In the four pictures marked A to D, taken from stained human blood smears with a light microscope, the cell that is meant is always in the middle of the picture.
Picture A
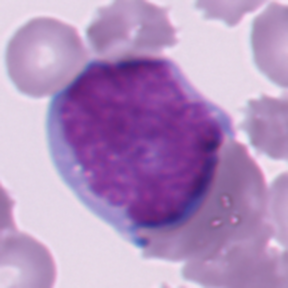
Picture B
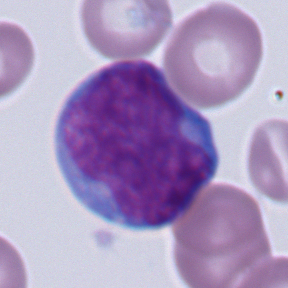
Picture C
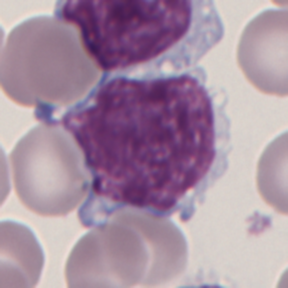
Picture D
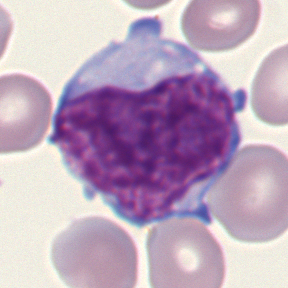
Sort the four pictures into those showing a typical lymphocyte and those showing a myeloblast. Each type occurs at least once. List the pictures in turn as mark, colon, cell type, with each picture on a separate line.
A: myeloblast
B: myeloblast
C: typical lymphocyte
D: myeloblast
